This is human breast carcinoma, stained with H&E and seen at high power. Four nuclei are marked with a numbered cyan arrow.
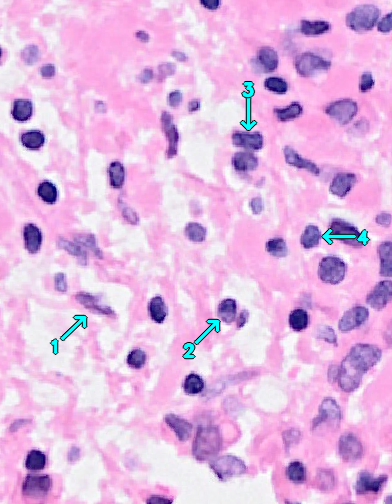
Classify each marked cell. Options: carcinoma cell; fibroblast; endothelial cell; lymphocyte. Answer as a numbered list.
1. fibroblast
2. lymphocyte
3. lymphocyte
4. lymphocyte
